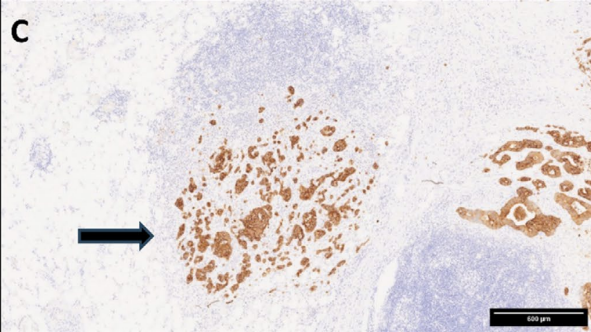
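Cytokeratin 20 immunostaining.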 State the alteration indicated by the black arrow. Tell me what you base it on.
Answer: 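Lymph node metastasis. A cluster of brown-stained epithelial nests lies within pale blue lymphoid tissue.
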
